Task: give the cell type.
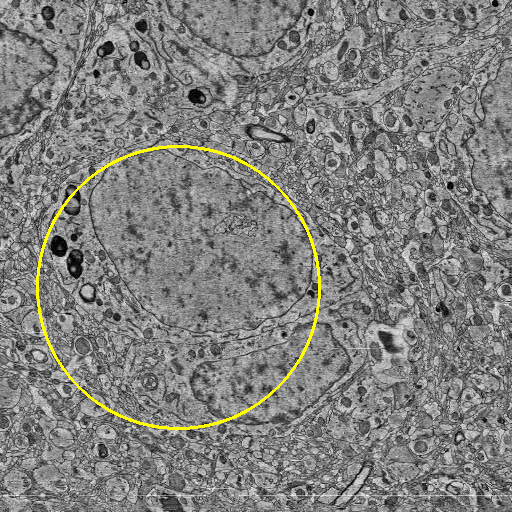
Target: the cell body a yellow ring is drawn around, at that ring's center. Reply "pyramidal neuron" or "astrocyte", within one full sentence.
In this picture, the cell whose body lies at the ring's center is a pyramidal neuron.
